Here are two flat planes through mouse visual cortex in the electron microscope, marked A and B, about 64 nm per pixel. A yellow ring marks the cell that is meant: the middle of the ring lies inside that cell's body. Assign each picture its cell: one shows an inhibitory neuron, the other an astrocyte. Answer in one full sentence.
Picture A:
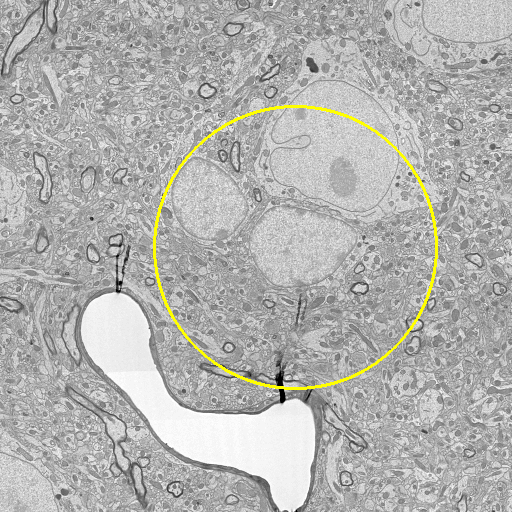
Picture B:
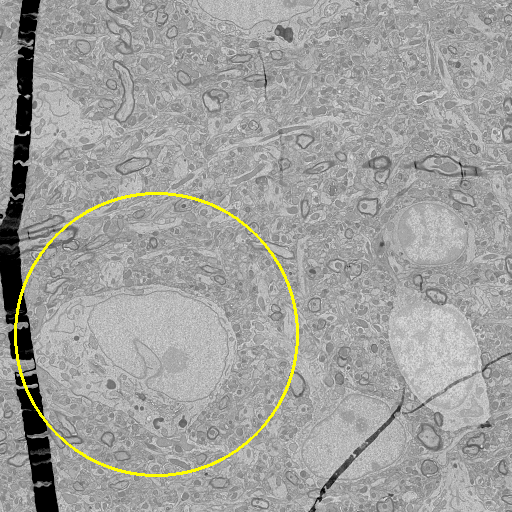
In picture A the cell is an astrocyte; in picture B, an inhibitory neuron.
